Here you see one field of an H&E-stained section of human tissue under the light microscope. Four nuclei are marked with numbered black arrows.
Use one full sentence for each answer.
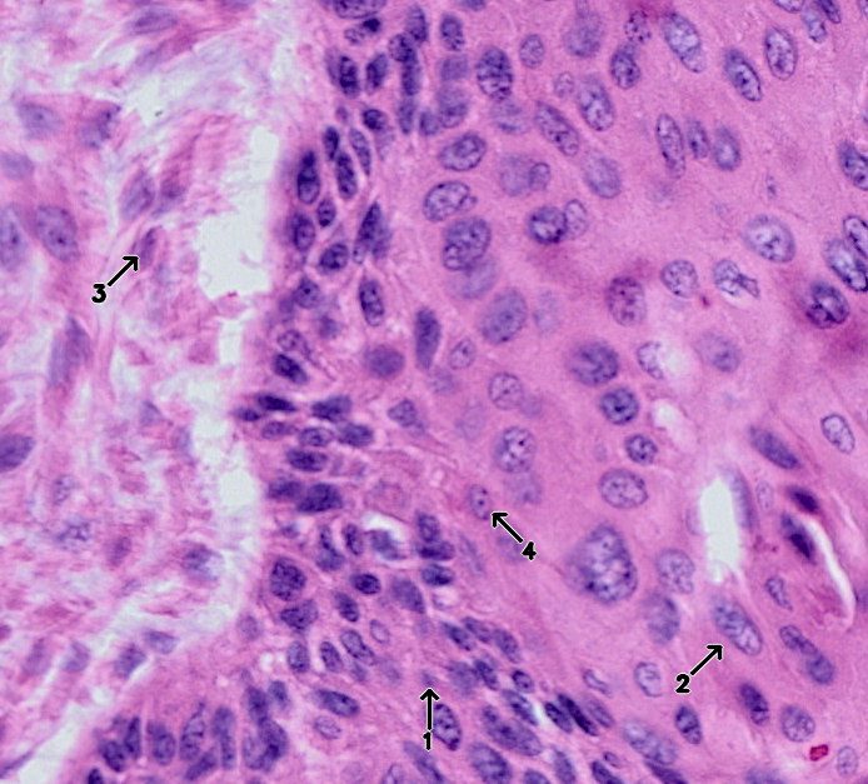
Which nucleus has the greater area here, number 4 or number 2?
The larger nucleus is 2, at roughly 2.5 times the area of 4.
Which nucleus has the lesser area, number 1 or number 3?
It is nucleus 1; nucleus 3 has about 2 times its area.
